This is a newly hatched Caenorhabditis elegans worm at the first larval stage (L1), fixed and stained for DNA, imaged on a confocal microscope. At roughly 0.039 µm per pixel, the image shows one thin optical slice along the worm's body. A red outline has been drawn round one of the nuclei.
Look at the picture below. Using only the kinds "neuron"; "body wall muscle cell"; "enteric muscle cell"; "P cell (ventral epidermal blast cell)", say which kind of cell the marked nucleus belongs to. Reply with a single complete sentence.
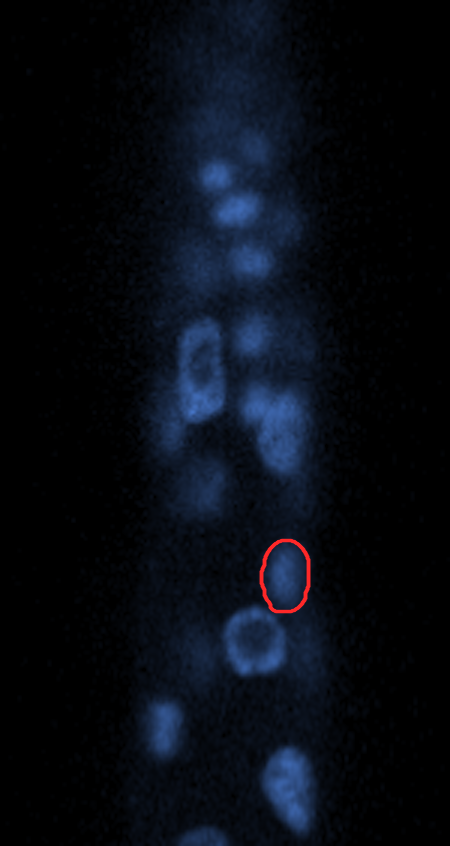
The nucleus comes from an enteric muscle cell.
